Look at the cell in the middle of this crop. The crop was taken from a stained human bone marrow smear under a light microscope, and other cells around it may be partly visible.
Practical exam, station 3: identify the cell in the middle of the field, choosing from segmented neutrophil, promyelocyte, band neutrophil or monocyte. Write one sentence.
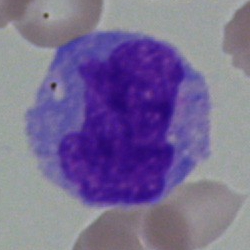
The centered cell in this crop is a monocyte.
